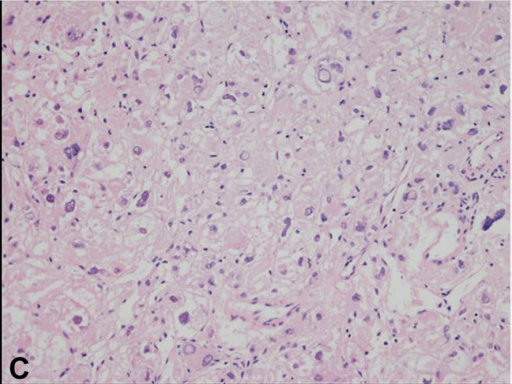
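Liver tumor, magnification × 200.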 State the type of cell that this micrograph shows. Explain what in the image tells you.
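Epithelioid cells. Large polygonal cells with abundant pale pink cytoplasm.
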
